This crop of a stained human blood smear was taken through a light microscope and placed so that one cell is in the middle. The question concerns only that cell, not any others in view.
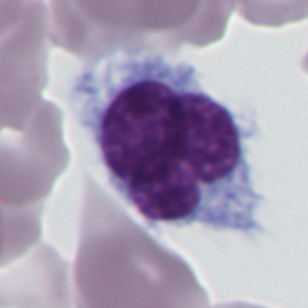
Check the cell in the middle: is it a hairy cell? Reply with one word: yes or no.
yes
